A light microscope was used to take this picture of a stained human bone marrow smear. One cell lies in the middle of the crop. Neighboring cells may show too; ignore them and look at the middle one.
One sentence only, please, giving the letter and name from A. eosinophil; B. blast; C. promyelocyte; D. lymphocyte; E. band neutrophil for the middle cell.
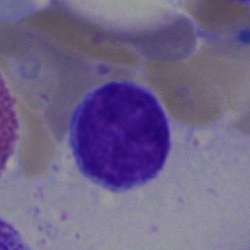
Of the choices given, option D is right, as the central cell is a lymphocyte.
